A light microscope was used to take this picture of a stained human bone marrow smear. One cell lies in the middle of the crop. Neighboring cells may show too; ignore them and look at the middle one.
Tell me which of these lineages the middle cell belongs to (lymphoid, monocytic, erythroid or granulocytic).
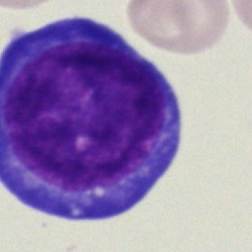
erythroid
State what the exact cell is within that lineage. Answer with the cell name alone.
proerythroblast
